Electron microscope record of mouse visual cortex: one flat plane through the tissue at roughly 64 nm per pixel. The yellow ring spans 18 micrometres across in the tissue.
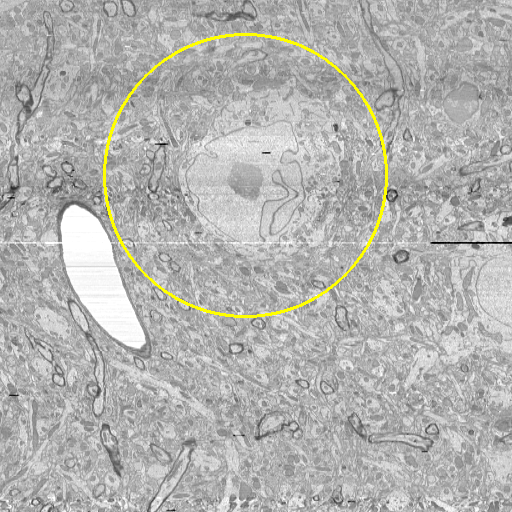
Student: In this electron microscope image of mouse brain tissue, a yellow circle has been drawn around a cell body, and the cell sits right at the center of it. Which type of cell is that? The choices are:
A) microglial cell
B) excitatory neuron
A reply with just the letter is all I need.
B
